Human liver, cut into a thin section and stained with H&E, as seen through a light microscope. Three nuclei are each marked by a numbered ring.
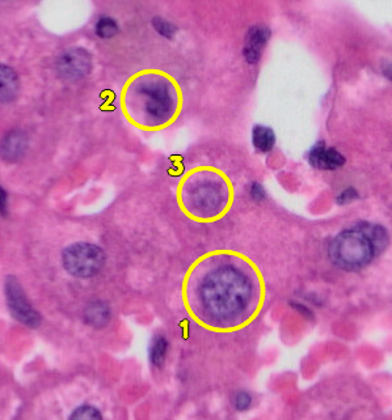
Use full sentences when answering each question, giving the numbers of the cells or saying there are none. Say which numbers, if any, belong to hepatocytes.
In this section, the cells labelled 1 and 3 are hepatocytes.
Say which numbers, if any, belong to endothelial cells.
The cells whose nuclei carry numbers are not endothelial cells.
